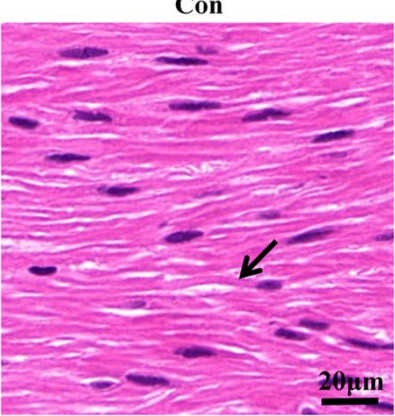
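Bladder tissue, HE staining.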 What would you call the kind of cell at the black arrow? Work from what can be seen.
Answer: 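Elongated spindle-shaped cells run in parallel. Each cell has a cigar-shaped, dark purple nucleus. Cytoplasm is pink and fibrillar. The answer: detrusor cells.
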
